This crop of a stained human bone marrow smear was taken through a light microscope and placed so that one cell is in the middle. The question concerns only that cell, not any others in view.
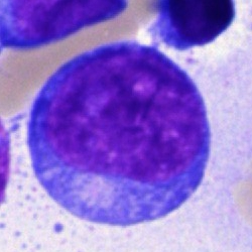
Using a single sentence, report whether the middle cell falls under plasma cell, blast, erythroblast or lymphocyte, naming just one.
The single cell at the center of the crop is a blast.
